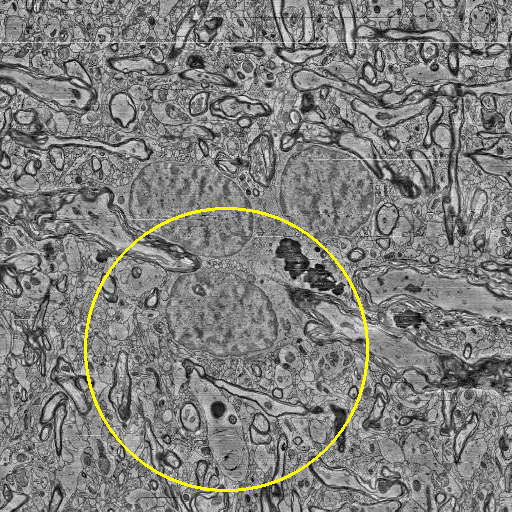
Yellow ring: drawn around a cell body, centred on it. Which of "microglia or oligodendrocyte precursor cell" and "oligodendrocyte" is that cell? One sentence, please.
That cell body is from an oligodendrocyte.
